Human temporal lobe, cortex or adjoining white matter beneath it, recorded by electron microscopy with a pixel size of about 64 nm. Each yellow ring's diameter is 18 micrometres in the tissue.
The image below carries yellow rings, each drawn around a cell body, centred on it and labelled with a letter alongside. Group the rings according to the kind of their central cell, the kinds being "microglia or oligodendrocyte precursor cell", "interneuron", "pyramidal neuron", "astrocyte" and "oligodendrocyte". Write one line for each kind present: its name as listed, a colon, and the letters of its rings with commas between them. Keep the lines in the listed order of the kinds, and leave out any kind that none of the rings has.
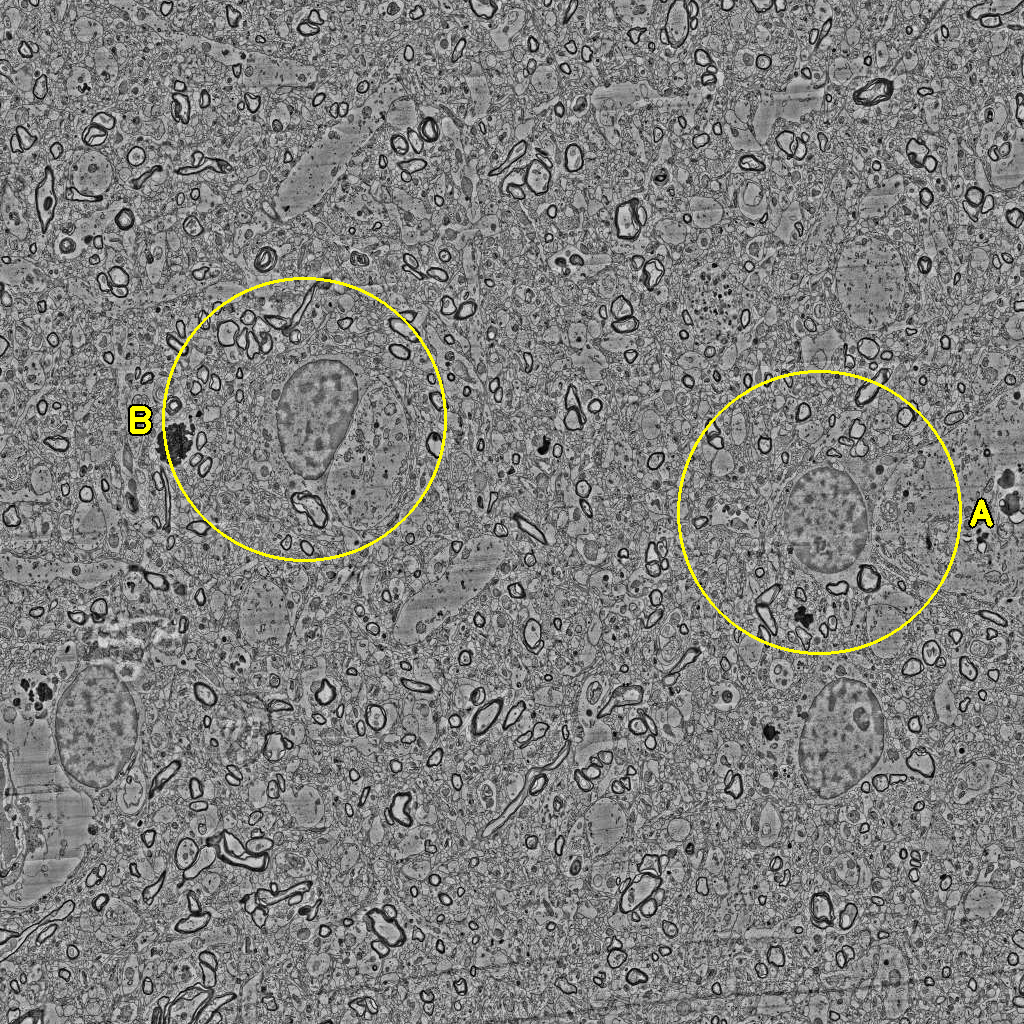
oligodendrocyte: A, B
